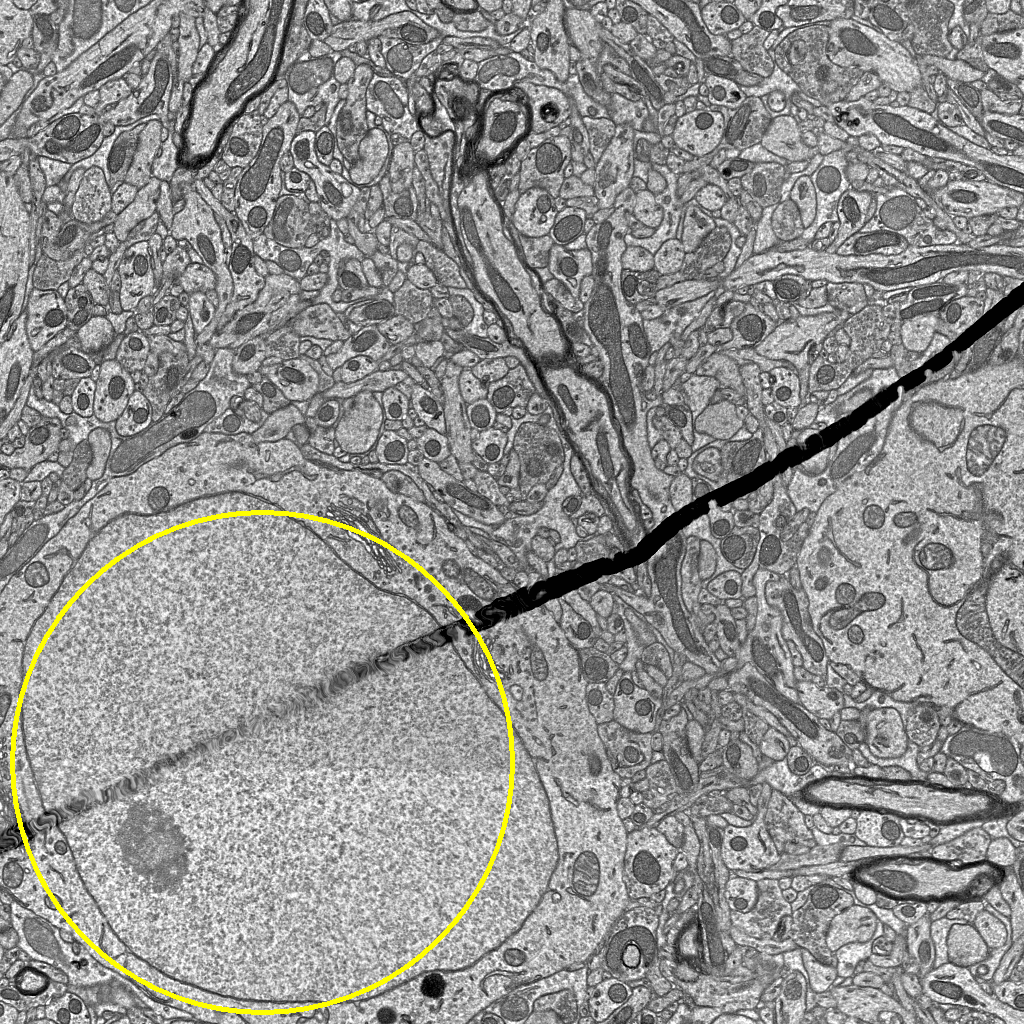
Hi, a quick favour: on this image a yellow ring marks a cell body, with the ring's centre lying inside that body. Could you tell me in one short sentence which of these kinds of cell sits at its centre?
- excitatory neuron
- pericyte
The ring's centre lies in an excitatory neuron.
